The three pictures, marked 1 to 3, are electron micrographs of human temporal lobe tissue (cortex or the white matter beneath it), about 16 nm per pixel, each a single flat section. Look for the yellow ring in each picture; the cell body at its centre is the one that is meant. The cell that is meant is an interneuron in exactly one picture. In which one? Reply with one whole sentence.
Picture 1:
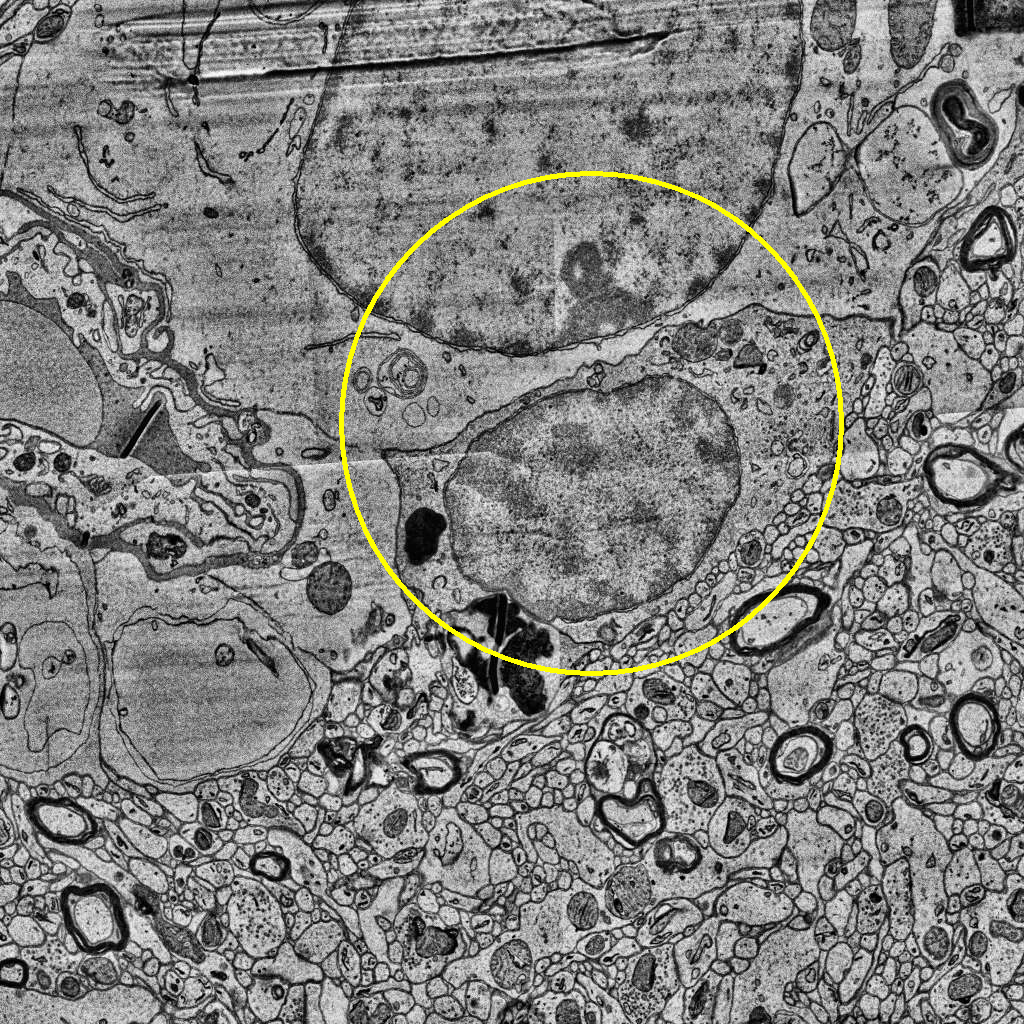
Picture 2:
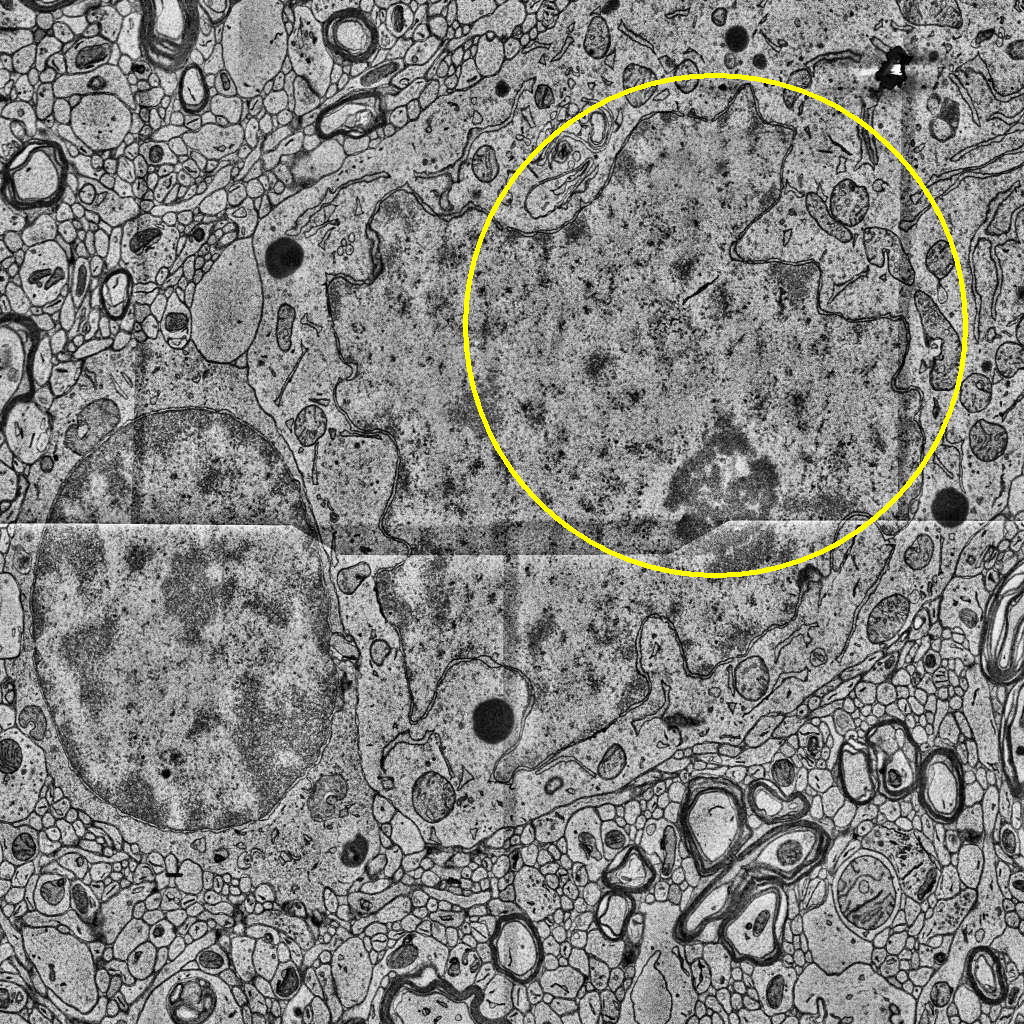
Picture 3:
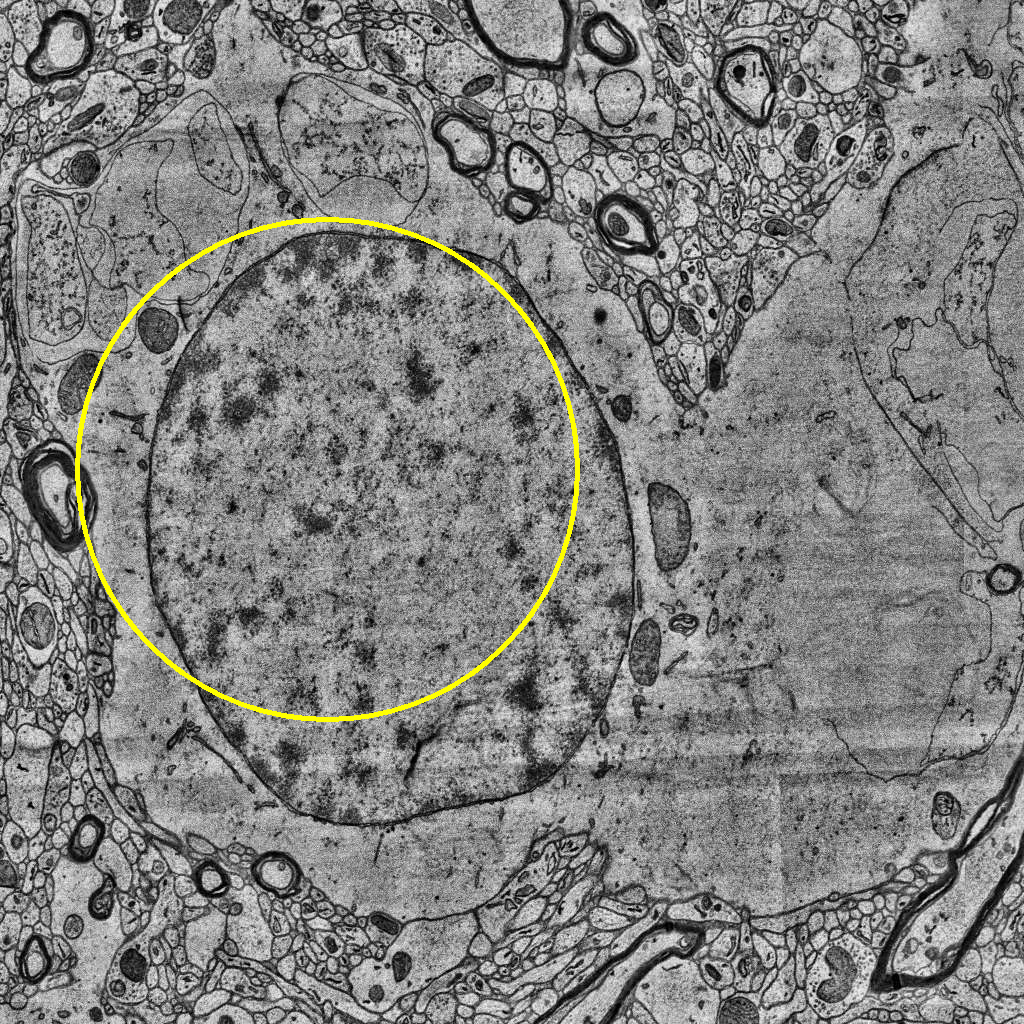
The cell in picture 2 is the interneuron.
